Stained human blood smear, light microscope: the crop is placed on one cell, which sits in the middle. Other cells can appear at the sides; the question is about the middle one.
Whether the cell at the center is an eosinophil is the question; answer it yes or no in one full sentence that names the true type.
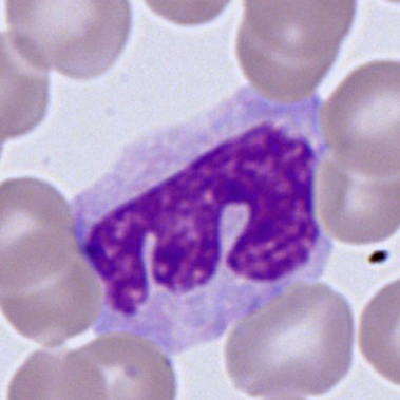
No, the middle cell is actually a monocyte rather than an eosinophil.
